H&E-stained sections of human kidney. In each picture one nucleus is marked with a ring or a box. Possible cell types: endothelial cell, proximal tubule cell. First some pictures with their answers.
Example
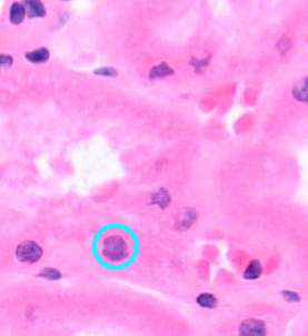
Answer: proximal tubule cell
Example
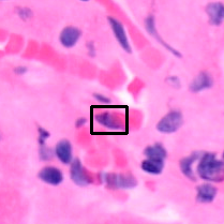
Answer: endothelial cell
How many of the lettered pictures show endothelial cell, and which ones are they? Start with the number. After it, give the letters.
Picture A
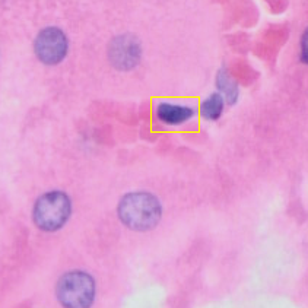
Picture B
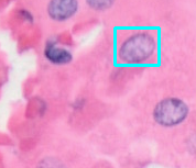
Count: 1 (A)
